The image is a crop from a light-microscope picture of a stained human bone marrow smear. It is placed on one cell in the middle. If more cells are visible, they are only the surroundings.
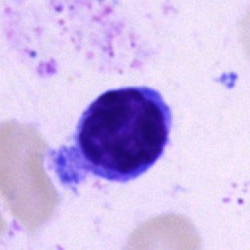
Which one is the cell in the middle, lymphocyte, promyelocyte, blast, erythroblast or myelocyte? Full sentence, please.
Looking at the middle of the crop, the cell there is a lymphocyte.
